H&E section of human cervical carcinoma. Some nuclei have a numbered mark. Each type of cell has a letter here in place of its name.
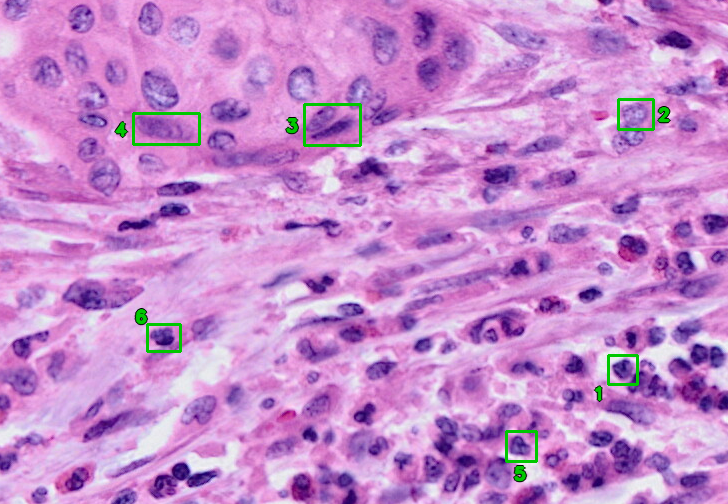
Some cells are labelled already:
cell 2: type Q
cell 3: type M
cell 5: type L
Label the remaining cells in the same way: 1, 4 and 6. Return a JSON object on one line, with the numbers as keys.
{"1": "type L", "4": "type M", "6": "type L"}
